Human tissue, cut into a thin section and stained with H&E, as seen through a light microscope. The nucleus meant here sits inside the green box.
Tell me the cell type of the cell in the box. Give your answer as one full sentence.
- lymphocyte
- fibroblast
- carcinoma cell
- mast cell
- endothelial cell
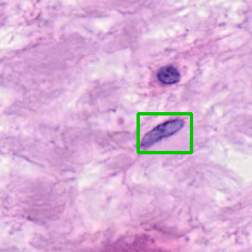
The identity of the cell in the box: it is a fibroblast.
